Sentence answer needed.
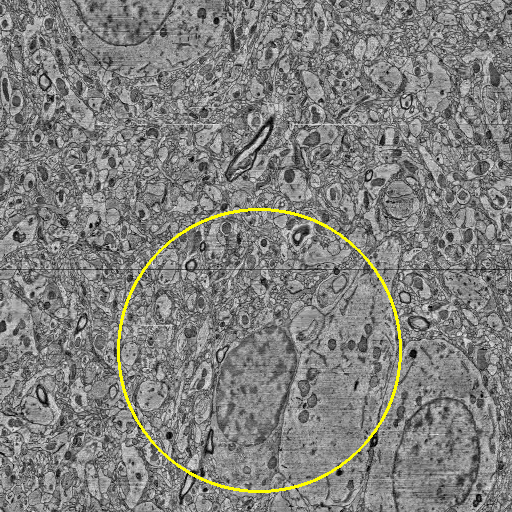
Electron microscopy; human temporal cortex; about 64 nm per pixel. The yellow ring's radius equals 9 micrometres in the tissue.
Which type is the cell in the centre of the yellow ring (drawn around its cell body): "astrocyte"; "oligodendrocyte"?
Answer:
In the centre of the yellow ring is an oligodendrocyte.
